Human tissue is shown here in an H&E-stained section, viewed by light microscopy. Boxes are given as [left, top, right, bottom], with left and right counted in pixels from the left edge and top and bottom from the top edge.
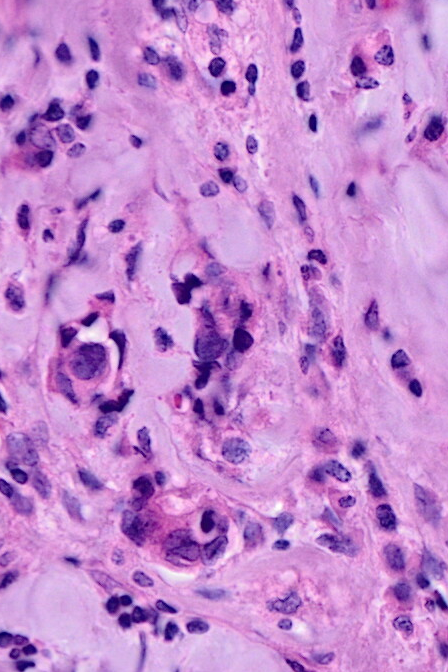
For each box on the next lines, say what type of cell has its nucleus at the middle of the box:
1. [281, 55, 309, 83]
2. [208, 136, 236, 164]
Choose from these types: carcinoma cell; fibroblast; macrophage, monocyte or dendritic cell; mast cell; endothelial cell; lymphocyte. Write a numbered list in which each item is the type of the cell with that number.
1. lymphocyte
2. mast cell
